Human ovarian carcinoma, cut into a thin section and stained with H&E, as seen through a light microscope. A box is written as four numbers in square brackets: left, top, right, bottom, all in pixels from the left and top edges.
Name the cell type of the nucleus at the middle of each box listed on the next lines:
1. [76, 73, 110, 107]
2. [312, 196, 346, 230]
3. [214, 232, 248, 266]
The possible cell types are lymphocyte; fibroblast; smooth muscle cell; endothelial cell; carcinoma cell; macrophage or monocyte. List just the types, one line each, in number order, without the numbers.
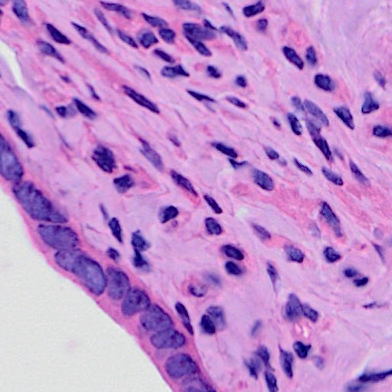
smooth muscle cell
smooth muscle cell
endothelial cell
